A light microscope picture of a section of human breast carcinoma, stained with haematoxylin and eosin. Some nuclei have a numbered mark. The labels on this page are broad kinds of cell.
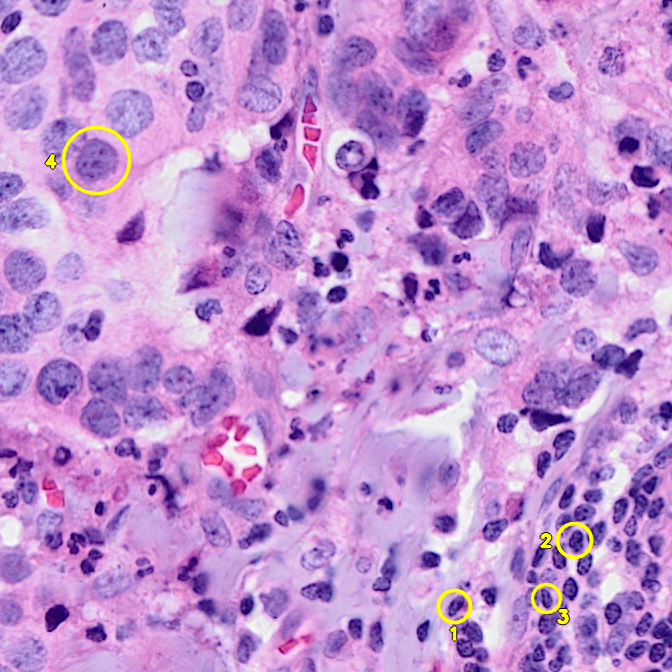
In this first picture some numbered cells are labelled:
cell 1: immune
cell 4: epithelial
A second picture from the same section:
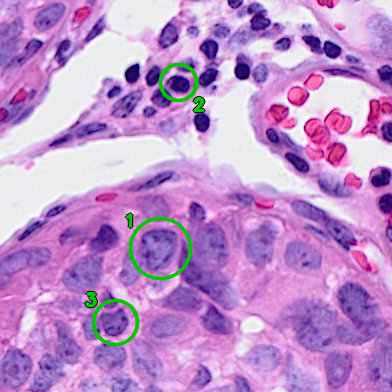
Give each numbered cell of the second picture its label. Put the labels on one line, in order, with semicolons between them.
epithelial; immune; epithelial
